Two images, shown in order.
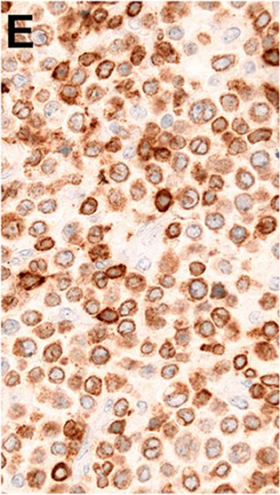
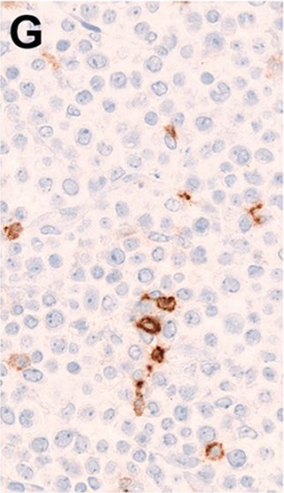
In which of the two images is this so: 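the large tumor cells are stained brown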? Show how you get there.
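The first image. Second image: the large cells are unstained, only a few scattered small cells are brown. First image: most large cells show brown membrane and cytoplasmic staining.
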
